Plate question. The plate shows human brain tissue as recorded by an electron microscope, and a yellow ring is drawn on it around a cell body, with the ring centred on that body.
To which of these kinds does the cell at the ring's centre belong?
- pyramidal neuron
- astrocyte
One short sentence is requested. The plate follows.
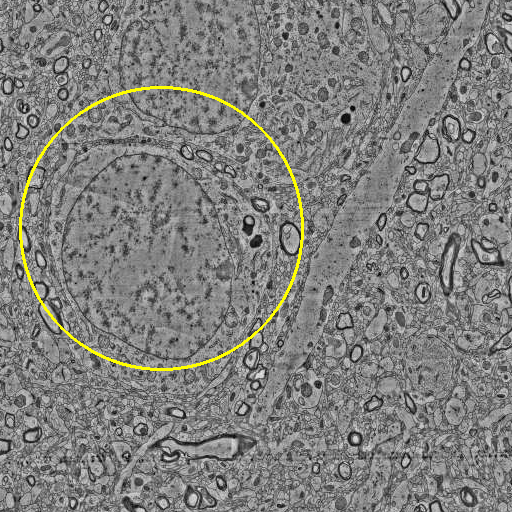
The cell at the ring's centre is a pyramidal neuron.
